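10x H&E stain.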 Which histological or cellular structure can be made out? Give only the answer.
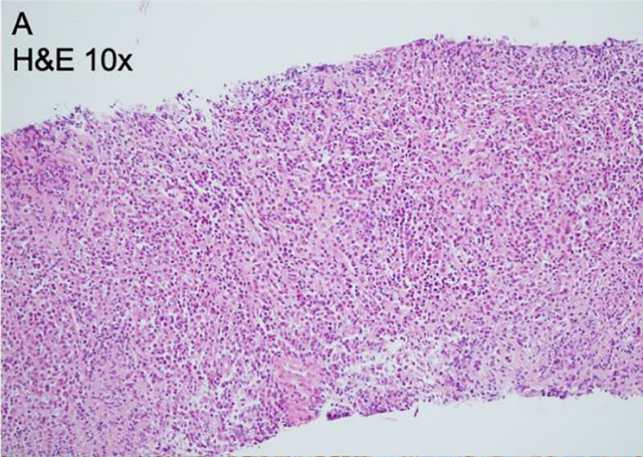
Lymphoid cells arranged in sheets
